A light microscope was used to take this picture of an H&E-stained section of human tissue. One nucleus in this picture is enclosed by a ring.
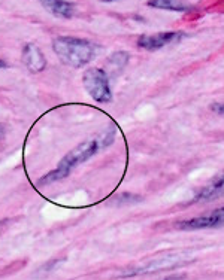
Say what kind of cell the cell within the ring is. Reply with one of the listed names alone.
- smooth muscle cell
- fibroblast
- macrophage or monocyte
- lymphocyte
fibroblast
